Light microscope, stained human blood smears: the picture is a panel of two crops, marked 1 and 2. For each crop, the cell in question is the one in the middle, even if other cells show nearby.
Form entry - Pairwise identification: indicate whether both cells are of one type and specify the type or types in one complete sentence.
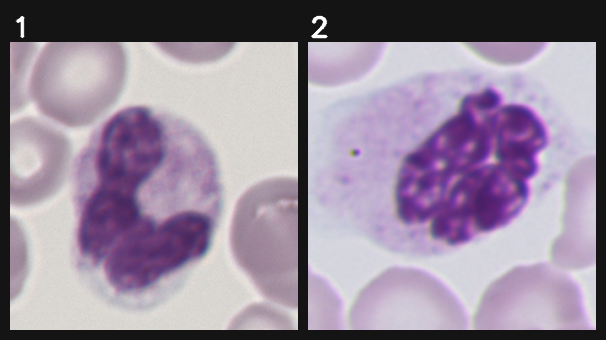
Yes, the centred cells are segmented neutrophils in both crops.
